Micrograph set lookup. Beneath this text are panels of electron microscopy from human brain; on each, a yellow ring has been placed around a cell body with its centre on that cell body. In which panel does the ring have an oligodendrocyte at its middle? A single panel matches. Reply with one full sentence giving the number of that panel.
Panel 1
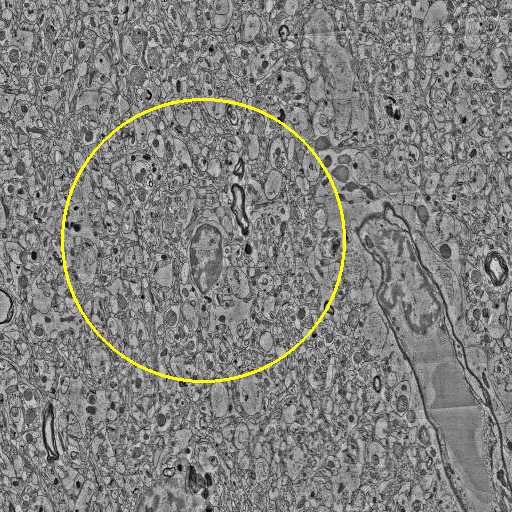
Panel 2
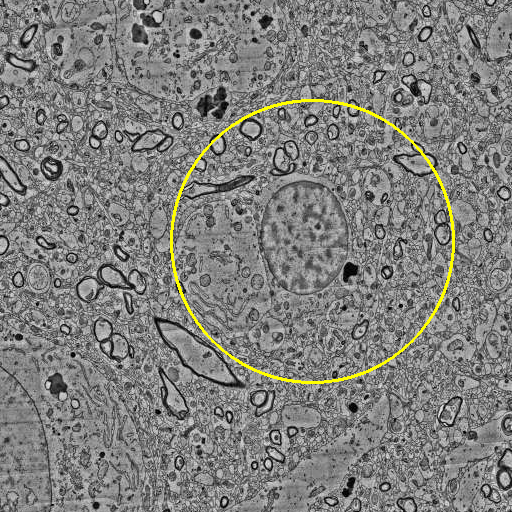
Panel 2 is the one whose ring has the sought cell at its centre.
